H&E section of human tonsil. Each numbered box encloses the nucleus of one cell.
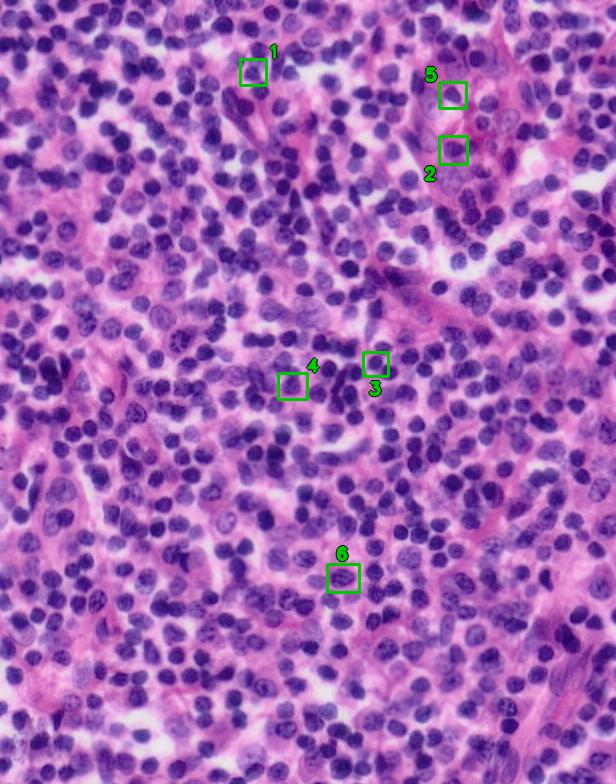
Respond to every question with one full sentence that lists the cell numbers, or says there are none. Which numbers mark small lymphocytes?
The cells numbered 1, 3 and 4 fall into the category of small lymphocytes.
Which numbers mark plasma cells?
Cell 6 is a plasma cell, and it is the only one.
